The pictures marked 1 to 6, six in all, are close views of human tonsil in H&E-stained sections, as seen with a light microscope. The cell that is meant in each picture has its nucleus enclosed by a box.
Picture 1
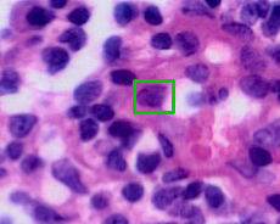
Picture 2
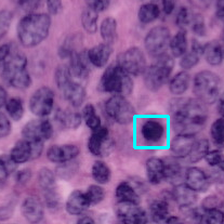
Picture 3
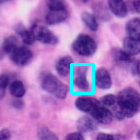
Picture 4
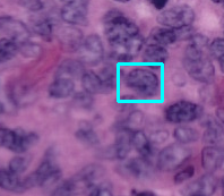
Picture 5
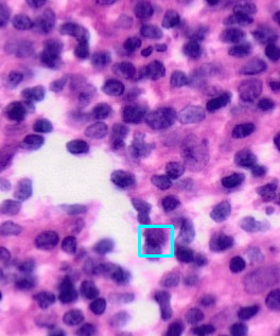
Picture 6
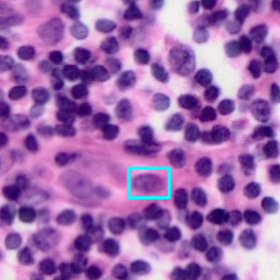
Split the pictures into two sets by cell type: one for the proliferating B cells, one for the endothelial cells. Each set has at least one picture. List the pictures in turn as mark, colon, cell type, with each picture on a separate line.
1: endothelial cell
2: proliferating B cell
3: proliferating B cell
4: proliferating B cell
5: proliferating B cell
6: endothelial cell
